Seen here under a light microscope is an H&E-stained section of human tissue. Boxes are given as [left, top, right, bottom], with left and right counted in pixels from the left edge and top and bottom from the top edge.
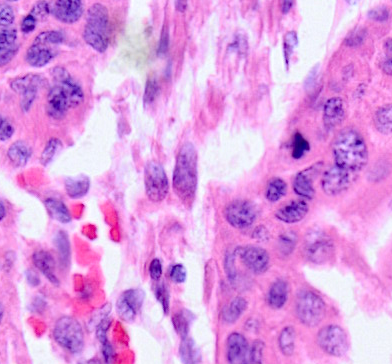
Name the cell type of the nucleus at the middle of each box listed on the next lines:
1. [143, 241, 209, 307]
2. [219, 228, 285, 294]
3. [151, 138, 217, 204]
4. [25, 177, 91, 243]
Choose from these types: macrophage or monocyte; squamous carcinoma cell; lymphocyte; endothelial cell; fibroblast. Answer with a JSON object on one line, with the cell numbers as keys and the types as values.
{"1": "lymphocyte", "2": "squamous carcinoma cell", "3": "fibroblast", "4": "endothelial cell"}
